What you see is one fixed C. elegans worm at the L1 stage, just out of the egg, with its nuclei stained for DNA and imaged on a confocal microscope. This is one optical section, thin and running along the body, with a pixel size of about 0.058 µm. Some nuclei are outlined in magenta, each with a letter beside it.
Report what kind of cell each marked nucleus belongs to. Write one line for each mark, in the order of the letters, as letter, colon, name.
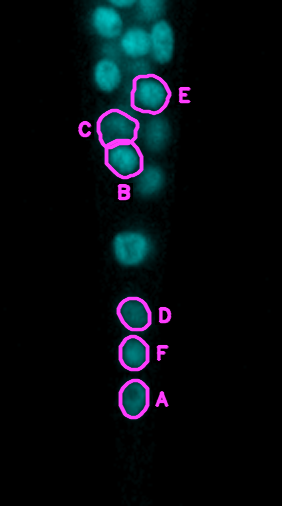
A: hypodermal cell (hyp)
B: neuron
C: seam cell
D: hypodermal cell (hyp)
E: neuron
F: hypodermal cell (hyp)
